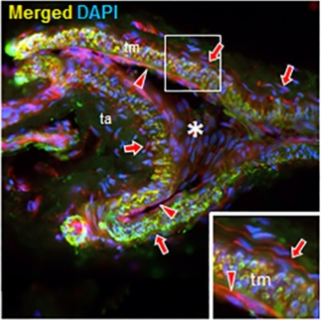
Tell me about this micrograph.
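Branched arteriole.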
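The wall is dominated by a thick band of tightly packed smooth muscle cells, which appear yellow-green where the two colours overlap. Blue nuclei are scattered regularly through this muscular layer. Along the inner edge, facing the lumen, a thin bright red line marks the lining endothelium. Outside the muscle layer lies a looser adventitial zone with scattered nuclei and fine red strands running along the vessel.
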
